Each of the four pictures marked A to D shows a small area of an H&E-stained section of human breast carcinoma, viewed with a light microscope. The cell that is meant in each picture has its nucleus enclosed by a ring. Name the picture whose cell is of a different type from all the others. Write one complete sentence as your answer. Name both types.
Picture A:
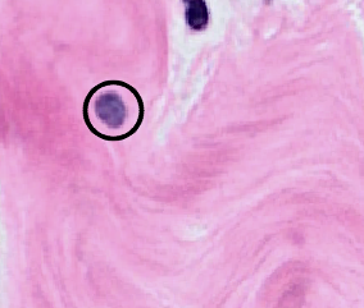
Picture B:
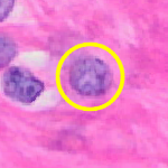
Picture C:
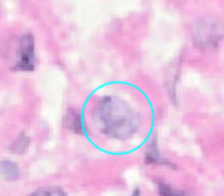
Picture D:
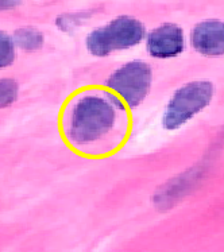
All pictures except A show carcinoma cells; picture A shows a lymphocyte.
